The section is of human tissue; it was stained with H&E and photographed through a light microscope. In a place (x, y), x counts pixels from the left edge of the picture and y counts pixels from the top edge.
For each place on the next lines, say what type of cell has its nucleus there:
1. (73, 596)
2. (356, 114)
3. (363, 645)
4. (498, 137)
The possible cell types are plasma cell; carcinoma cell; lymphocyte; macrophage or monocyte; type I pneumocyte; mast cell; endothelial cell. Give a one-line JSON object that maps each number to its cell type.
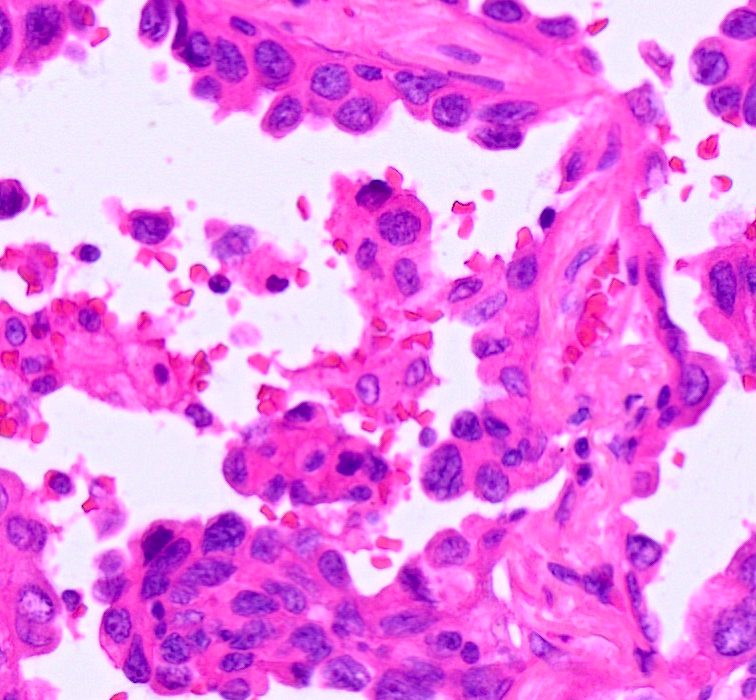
{"1": "lymphocyte", "2": "carcinoma cell", "3": "carcinoma cell", "4": "carcinoma cell"}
